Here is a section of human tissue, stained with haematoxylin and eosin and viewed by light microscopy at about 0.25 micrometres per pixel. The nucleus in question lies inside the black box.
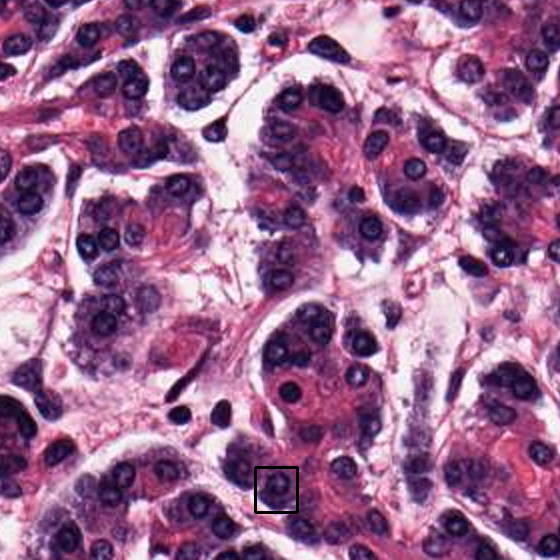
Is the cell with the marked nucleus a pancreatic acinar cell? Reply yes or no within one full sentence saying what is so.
Yes, the marked nucleus lies within a pancreatic acinar cell.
